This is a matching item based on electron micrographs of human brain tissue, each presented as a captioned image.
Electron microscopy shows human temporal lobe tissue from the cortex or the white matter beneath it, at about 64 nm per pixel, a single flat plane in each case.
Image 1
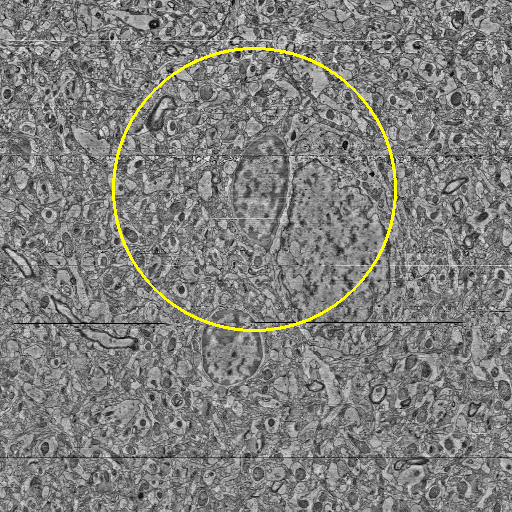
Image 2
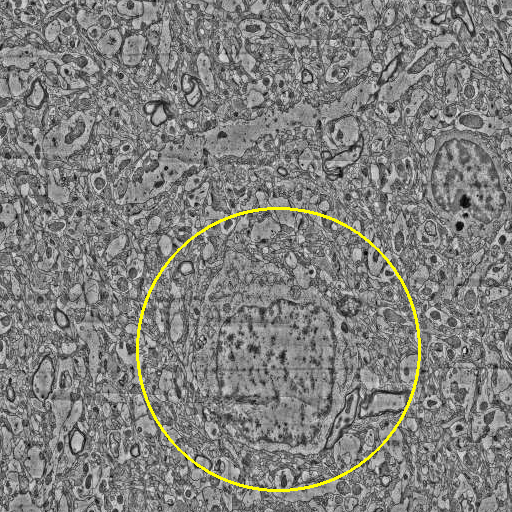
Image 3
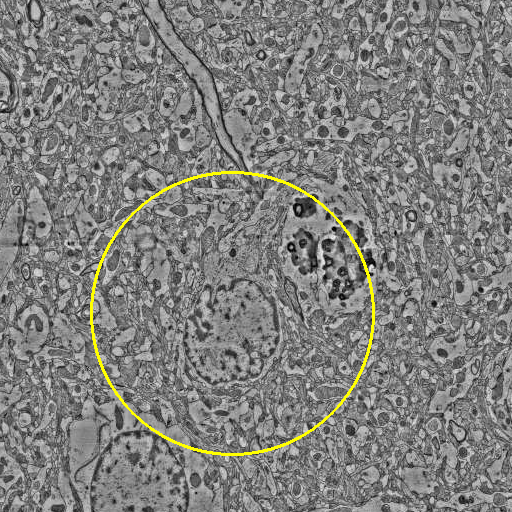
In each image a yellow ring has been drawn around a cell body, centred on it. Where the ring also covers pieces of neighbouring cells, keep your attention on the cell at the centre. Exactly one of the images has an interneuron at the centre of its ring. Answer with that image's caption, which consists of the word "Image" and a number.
Image 2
